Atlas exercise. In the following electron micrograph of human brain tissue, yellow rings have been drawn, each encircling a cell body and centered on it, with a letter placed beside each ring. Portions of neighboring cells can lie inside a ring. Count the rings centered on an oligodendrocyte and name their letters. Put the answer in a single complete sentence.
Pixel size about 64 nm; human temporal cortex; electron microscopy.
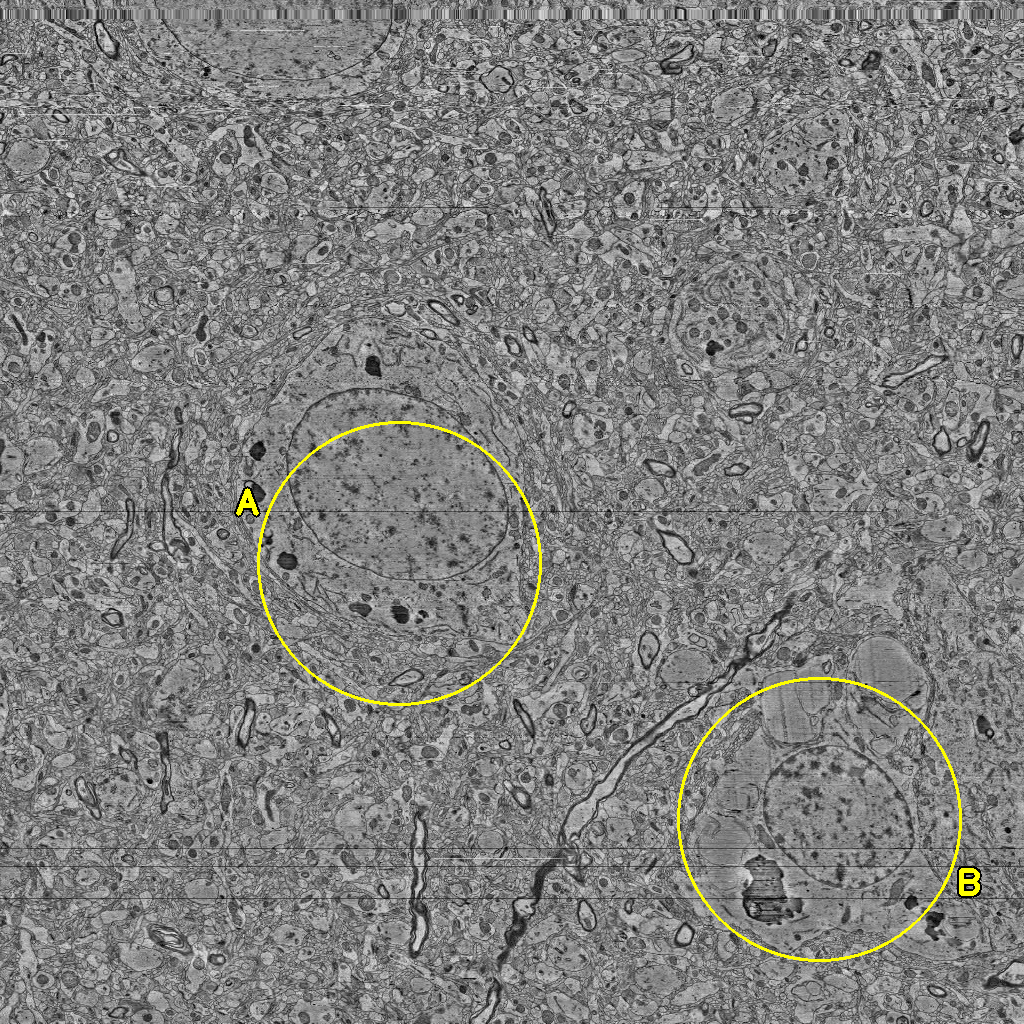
Across the lettered rings, not one is centred on an oligodendrocyte, so zero is the count.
